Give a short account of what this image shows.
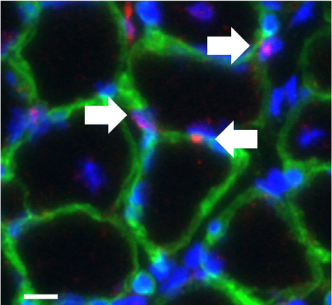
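This is a cross-section of skeletal muscle showing muscle fibers and several muscle satellite cells. Each fiber is a large dark polygonal profile bounded by a green ring. Blue nuclei are crowded along the fiber borders and in the spaces between fibers. Several small, flattened nuclei with red or pink staining lie against the green outlines at the fiber surface, in the position of satellite cells. The fibers are of fairly similar size and closely packed, with thin intervals between them holding further blue nuclei.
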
